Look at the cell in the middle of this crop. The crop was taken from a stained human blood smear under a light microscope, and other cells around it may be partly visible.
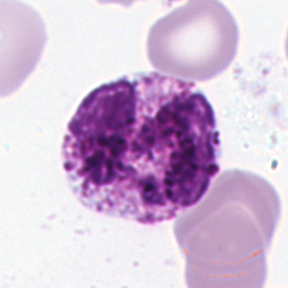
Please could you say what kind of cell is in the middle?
basophil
